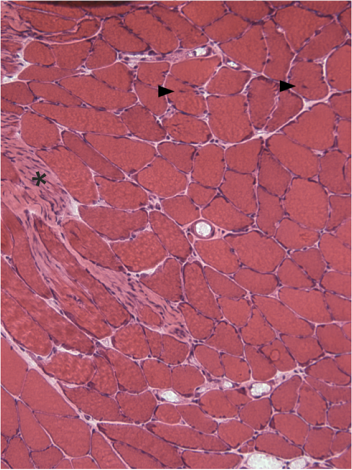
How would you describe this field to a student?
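Transverse section of skeletal muscle with red polygonal fibers of uneven size, some with a nucleus lying inside the fiber away from its border. At one side a broad band of pale pink fibrous tissue with elongated nuclei runs between groups of fibers, marking fibrosis.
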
